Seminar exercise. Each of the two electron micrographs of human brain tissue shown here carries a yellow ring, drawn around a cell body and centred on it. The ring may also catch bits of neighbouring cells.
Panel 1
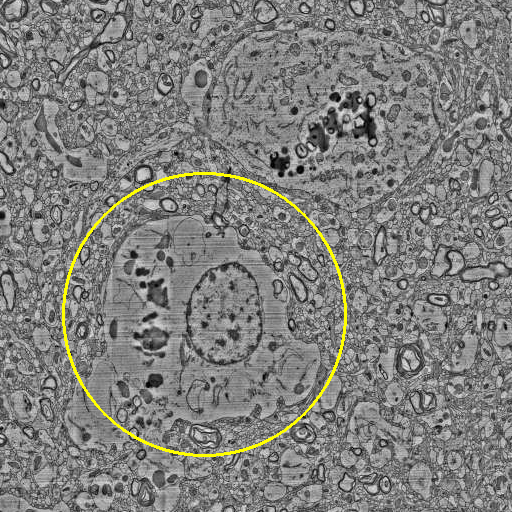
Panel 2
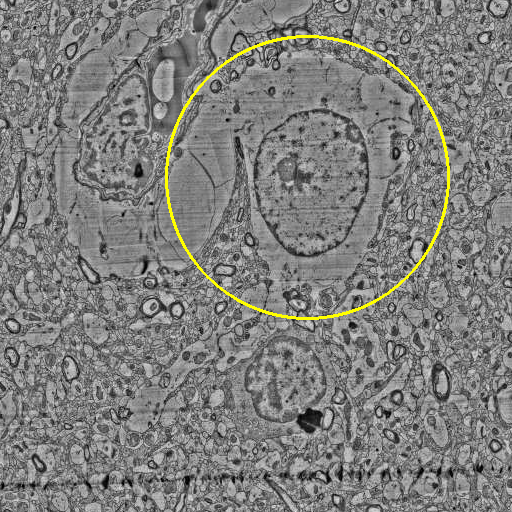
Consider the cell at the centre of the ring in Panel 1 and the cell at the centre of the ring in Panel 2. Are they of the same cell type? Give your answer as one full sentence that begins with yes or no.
Yes, both cells are of the same type.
